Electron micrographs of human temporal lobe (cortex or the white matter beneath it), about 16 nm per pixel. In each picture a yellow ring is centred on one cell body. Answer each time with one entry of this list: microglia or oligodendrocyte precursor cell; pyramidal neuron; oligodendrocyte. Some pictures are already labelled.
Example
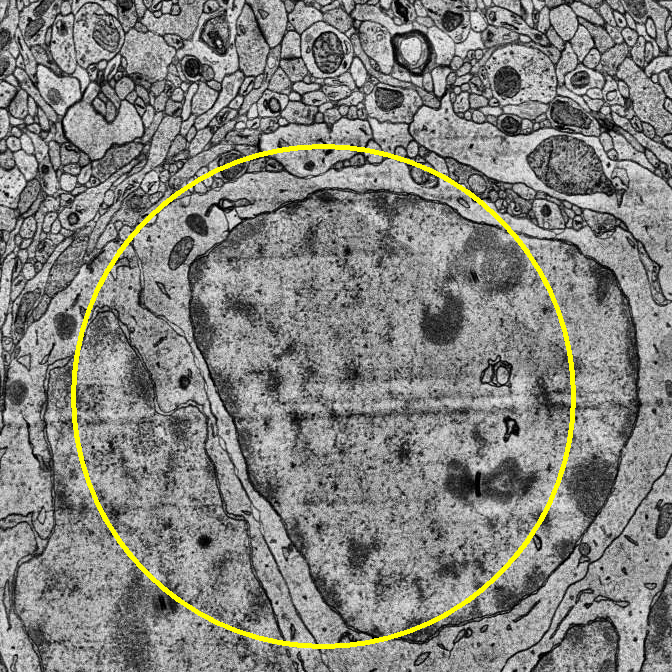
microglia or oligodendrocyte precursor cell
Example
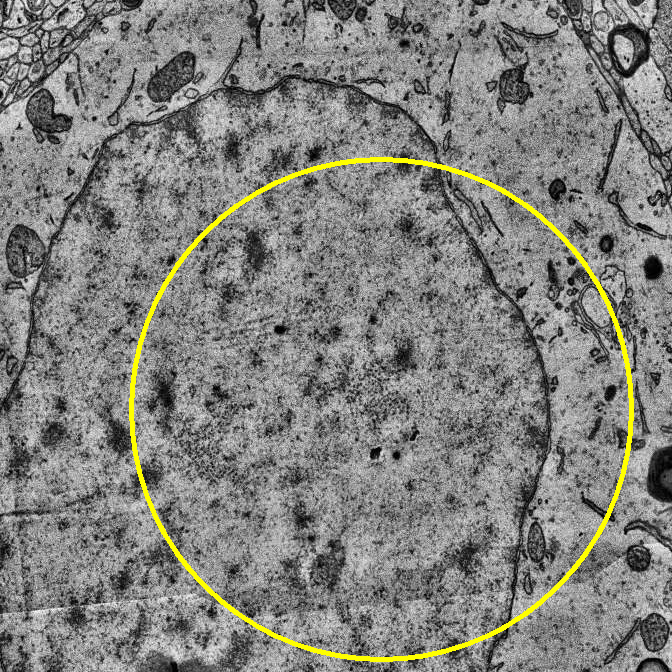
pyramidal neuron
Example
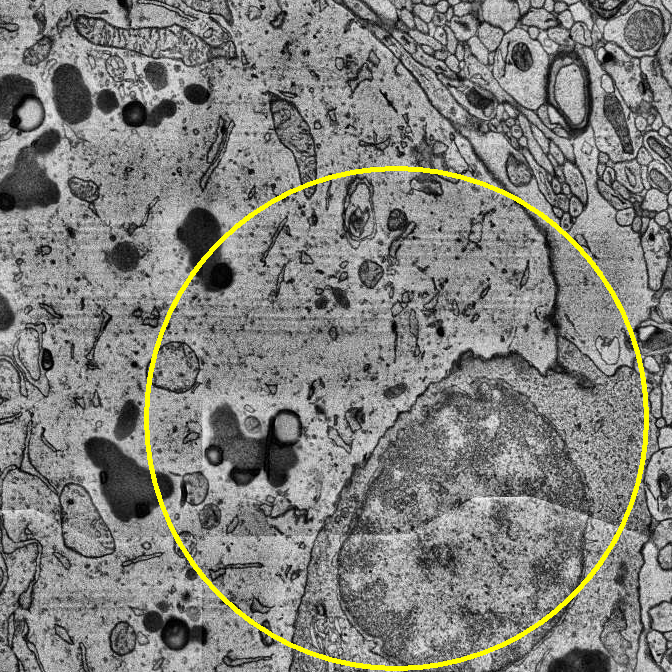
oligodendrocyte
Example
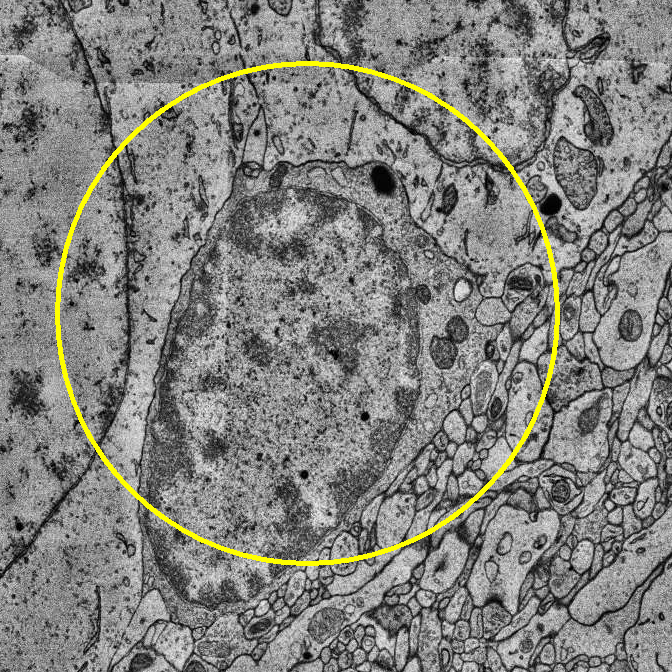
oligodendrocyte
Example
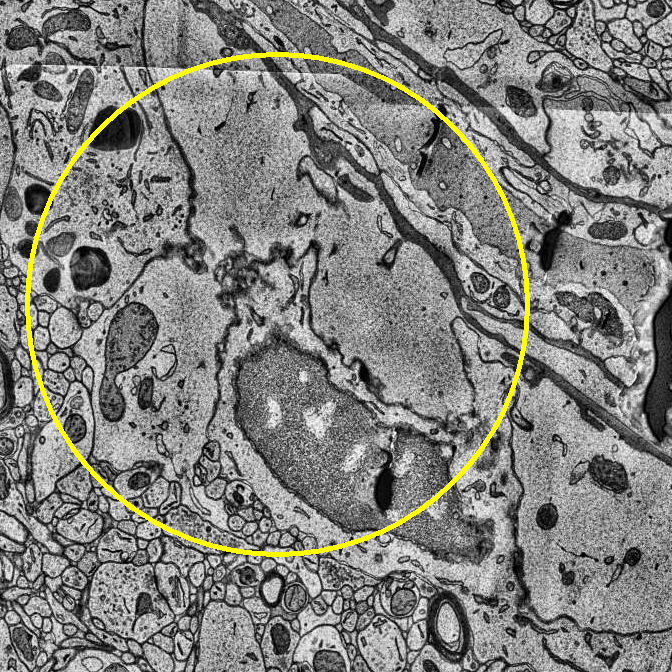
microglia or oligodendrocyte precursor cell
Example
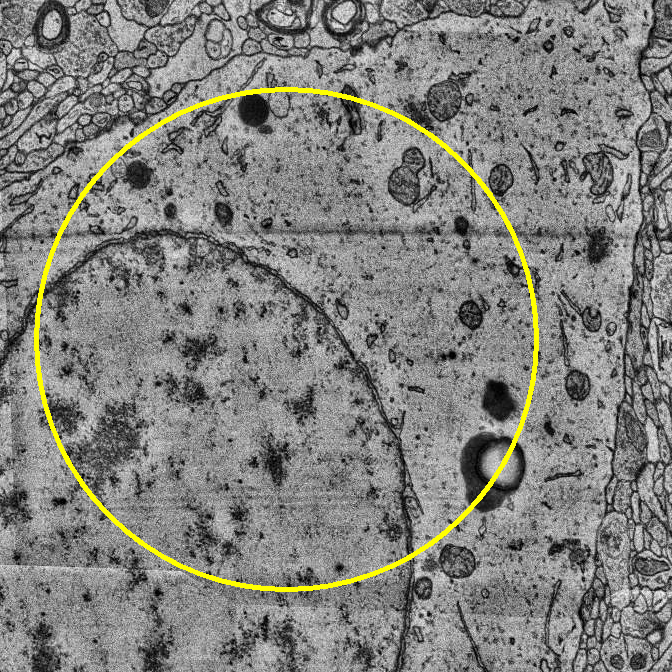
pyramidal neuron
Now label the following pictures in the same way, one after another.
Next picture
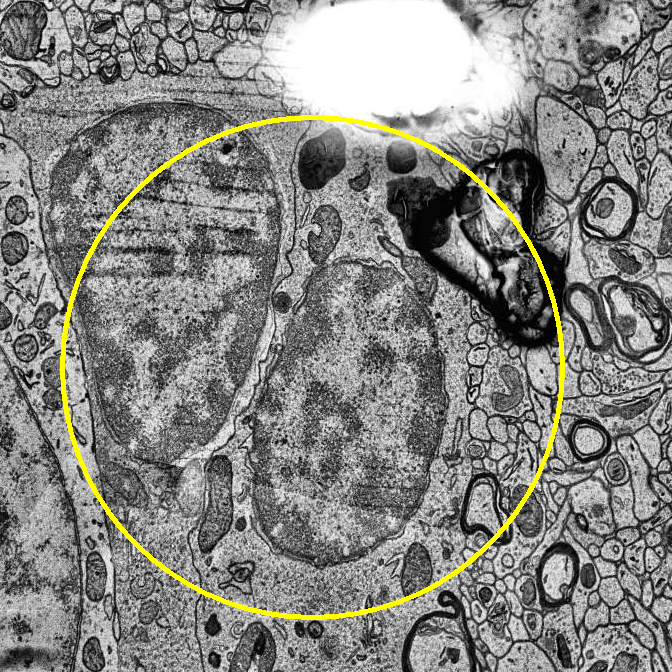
oligodendrocyte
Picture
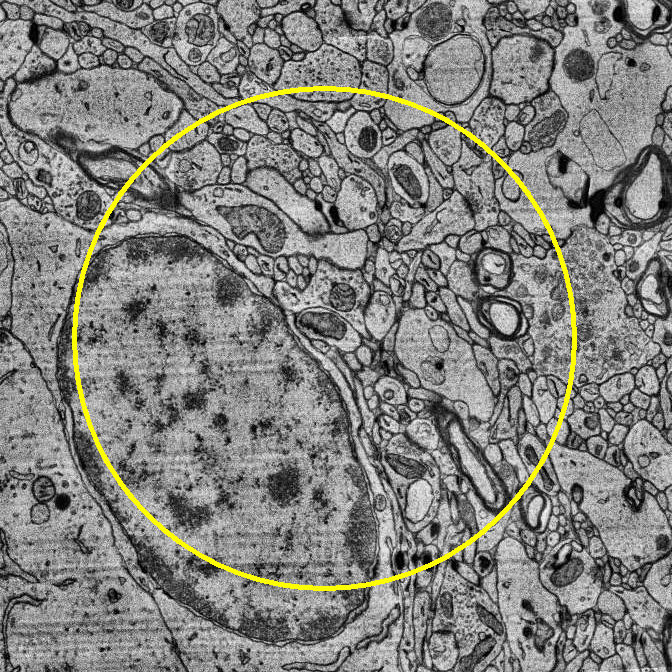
microglia or oligodendrocyte precursor cell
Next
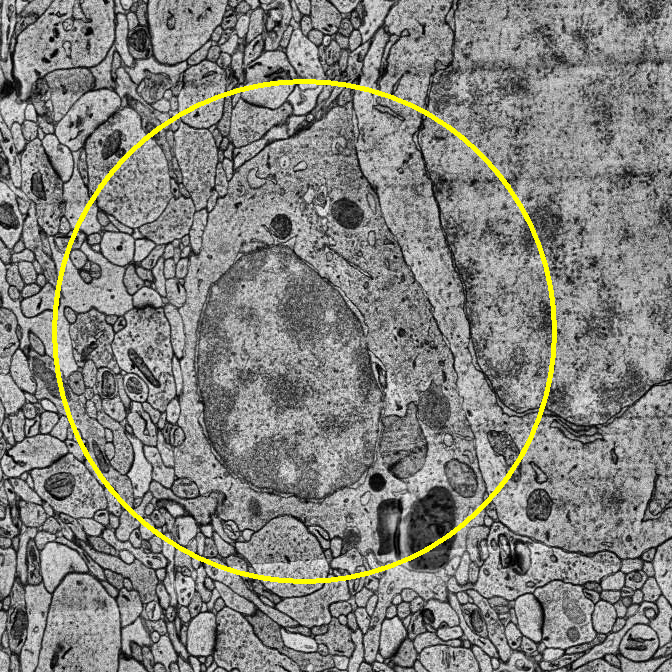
oligodendrocyte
